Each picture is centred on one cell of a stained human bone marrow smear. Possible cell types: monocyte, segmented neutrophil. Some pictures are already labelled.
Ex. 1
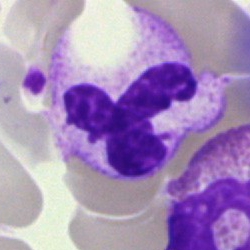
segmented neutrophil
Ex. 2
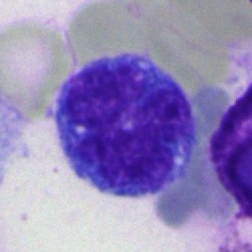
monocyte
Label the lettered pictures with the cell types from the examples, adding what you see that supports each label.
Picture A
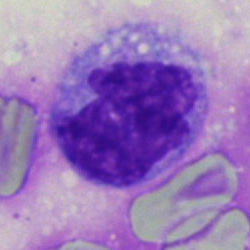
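monocyte: The nucleus fills most of the cell, leaving a rim of cytoplasm that is widest above it.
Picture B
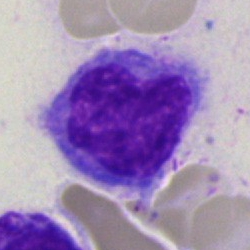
monocyte: The cytoplasm forms a narrow rim around the nucleus.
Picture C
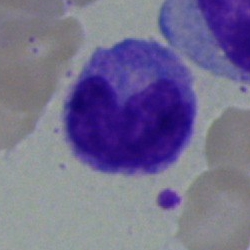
monocyte: The nucleus fills most of the cell.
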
